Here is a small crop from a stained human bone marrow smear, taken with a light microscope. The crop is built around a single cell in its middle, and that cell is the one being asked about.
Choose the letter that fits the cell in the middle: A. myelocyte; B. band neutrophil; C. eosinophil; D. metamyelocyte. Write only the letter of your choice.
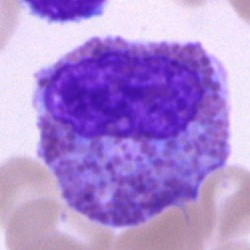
C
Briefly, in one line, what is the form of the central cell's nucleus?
Worth pointing out that its nucleus is one compact mass, round, oval or reniform.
